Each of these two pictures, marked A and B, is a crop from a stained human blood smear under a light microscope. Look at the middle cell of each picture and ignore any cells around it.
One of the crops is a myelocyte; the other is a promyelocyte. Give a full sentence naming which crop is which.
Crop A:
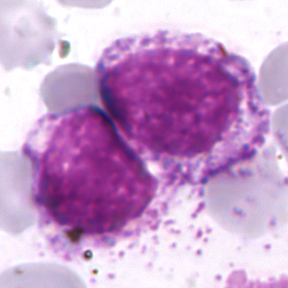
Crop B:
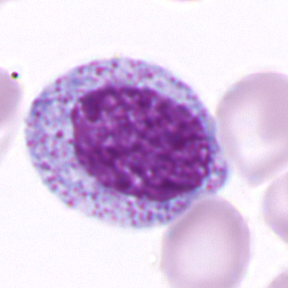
Crop A is a myelocyte, whereas a promyelocyte is found in crop B.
